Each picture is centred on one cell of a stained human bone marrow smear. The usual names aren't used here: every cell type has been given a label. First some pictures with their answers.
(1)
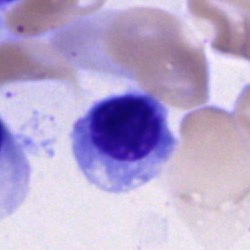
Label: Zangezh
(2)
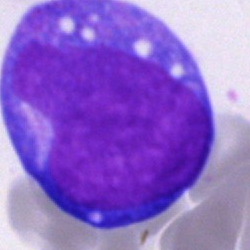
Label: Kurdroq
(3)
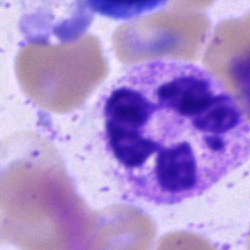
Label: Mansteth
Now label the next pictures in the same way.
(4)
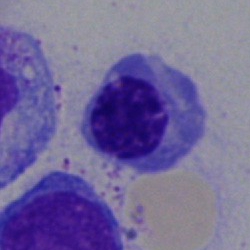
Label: Zangezh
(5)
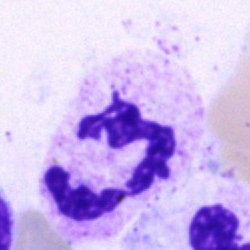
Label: Mansteth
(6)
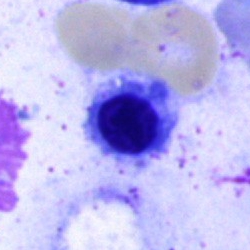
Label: Zangezh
